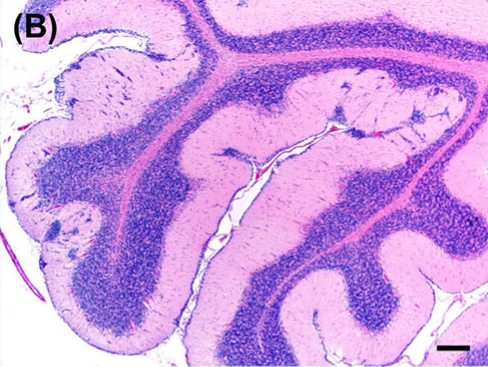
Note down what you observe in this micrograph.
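Cerebellar folia are cut in section, each with a pale pink core of white matter branching into the folds. Around each core lies a broad, densely cellular dark purple granular layer of small, closely packed nuclei. Outside it a wide pale pink molecular layer, sparse in cells, extends to the surface. Small dark purple clumps of cells lie within the pale outer layer, separate from the granular layer. Thin meninges with blood vessels run in the clefts between folia.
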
